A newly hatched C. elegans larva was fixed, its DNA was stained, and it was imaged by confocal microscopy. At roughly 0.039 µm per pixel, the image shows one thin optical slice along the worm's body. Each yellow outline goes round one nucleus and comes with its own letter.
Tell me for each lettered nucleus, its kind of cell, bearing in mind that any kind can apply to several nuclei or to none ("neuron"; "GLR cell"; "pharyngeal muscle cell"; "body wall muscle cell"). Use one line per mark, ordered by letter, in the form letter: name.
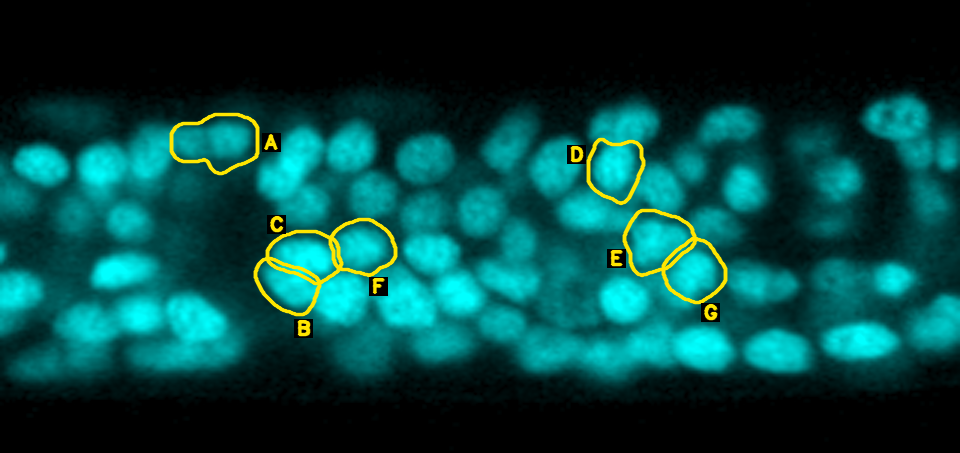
A: body wall muscle cell
B: GLR cell
C: GLR cell
D: neuron
E: pharyngeal muscle cell
F: neuron
G: neuron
